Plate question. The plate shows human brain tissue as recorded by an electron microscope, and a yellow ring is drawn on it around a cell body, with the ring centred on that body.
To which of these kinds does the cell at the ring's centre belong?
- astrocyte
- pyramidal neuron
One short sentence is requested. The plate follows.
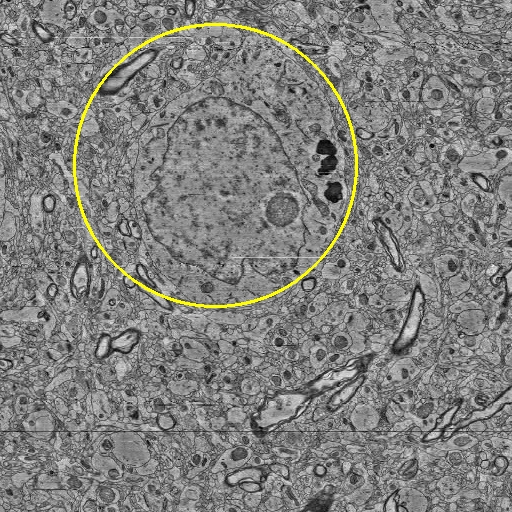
The cell at the ring's centre is a pyramidal neuron.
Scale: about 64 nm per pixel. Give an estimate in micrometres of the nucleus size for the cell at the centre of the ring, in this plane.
The nucleus works out at approximately 12 by 10 micrometres in this plane.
